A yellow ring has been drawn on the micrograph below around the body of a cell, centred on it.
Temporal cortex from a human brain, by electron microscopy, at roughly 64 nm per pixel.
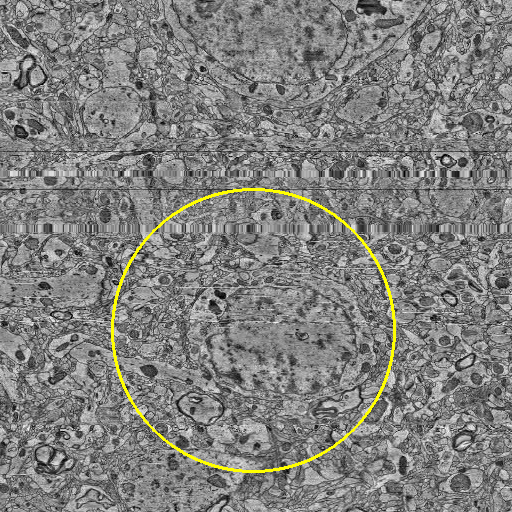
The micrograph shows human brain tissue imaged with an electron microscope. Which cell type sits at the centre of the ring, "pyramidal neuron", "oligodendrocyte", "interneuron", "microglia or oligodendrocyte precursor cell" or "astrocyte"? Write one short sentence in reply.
The cell sitting at the centre of the ring is an interneuron.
